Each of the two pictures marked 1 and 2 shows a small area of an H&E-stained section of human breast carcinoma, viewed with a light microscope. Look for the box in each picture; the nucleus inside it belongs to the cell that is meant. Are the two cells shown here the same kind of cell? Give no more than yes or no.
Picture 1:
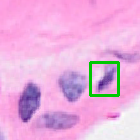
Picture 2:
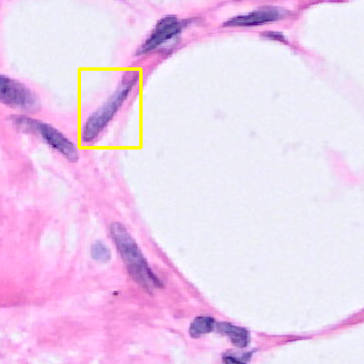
yes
